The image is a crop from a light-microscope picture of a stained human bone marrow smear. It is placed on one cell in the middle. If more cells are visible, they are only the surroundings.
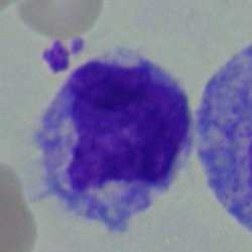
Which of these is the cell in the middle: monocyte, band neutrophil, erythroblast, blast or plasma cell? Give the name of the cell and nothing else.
monocyte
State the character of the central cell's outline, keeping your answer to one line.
An uneven margin is present, with either ragged stretches or outward projections.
